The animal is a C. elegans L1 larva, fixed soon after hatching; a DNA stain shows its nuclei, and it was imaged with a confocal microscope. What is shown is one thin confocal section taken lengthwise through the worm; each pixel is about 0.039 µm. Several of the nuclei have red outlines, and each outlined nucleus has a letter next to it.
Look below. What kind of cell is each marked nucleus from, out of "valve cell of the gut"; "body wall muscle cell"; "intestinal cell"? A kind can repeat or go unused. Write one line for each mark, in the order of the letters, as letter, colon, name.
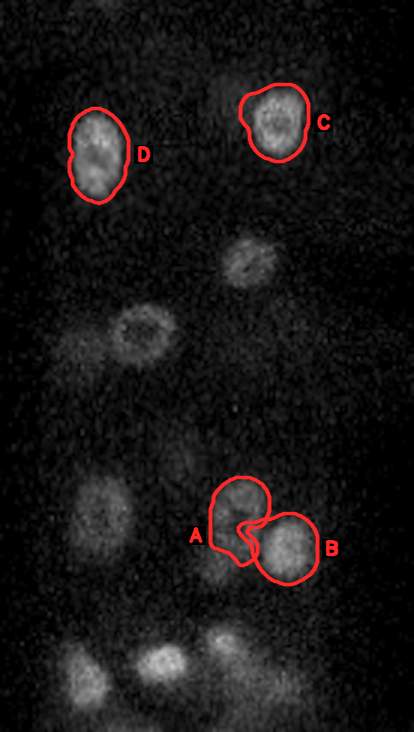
A: intestinal cell
B: body wall muscle cell
C: body wall muscle cell
D: body wall muscle cell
